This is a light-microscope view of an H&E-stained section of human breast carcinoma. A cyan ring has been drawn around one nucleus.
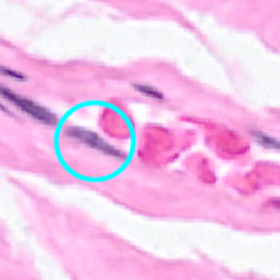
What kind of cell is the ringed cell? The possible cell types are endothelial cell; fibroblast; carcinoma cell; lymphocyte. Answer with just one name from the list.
endothelial cell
